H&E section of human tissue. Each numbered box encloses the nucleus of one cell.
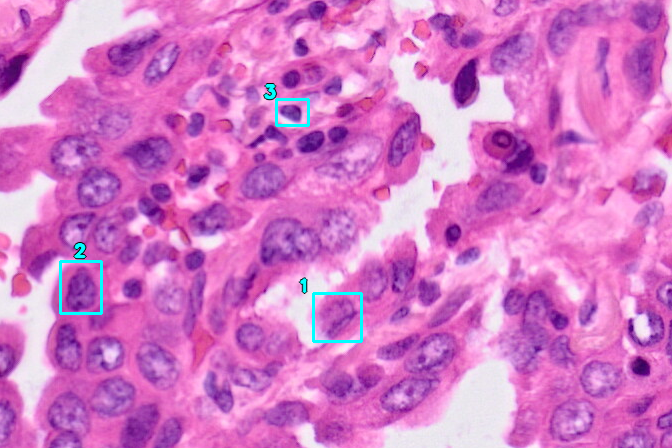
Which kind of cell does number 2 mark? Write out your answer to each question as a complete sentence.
The cell carrying label 2 is identified as a carcinoma cell.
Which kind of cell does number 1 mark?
In the tissue shown, cell 1 is a carcinoma cell.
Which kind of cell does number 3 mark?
At number 3, the marked cell is a lymphocyte.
